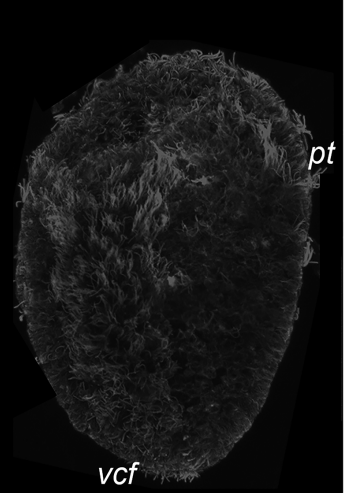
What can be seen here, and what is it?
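A transverse band of cilia crosses the upper part of the body. Below it, the ventral surface carries a dense field of cilia that spreads toward the posterior end. At the posterior tip, cilia project beyond the body outline. No transverse rows of ciliary tufts are yet distinguishable along the trunk.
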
